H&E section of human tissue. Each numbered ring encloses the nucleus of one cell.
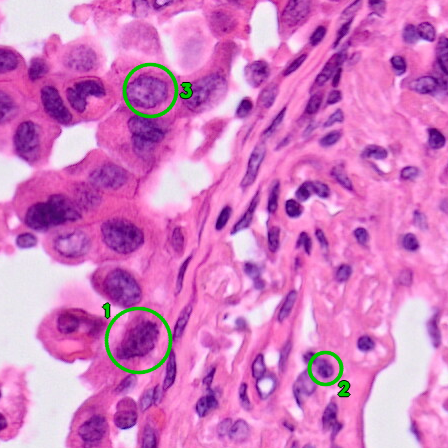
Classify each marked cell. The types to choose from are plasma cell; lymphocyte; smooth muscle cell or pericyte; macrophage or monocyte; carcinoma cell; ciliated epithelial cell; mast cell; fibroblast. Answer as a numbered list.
1. carcinoma cell
2. lymphocyte
3. carcinoma cell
